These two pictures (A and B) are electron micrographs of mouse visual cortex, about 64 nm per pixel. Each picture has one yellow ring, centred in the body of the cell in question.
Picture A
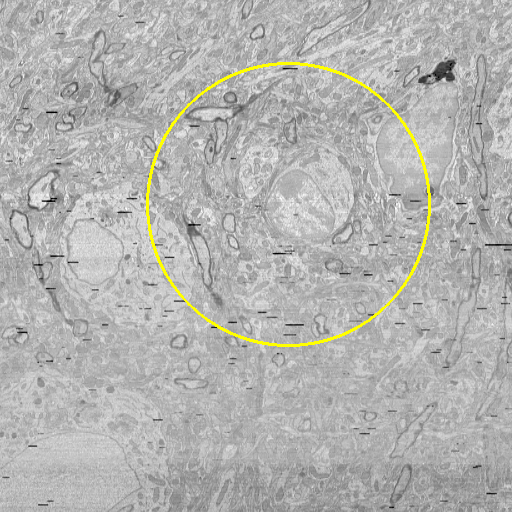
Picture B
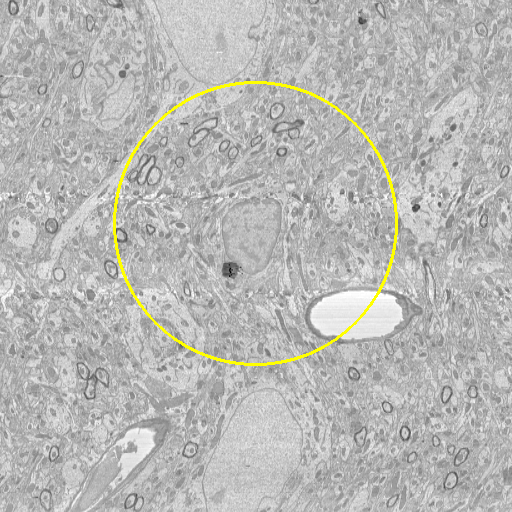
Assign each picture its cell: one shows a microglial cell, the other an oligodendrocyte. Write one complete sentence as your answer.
Picture A shows an oligodendrocyte and picture B shows a microglial cell.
